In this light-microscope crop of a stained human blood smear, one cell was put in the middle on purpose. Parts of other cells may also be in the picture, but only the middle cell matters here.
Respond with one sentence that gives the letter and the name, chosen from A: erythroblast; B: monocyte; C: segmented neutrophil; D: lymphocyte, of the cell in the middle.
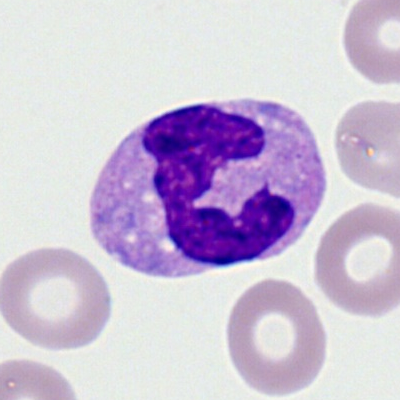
The correct choice is option C, which identifies the middle cell as a segmented neutrophil.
